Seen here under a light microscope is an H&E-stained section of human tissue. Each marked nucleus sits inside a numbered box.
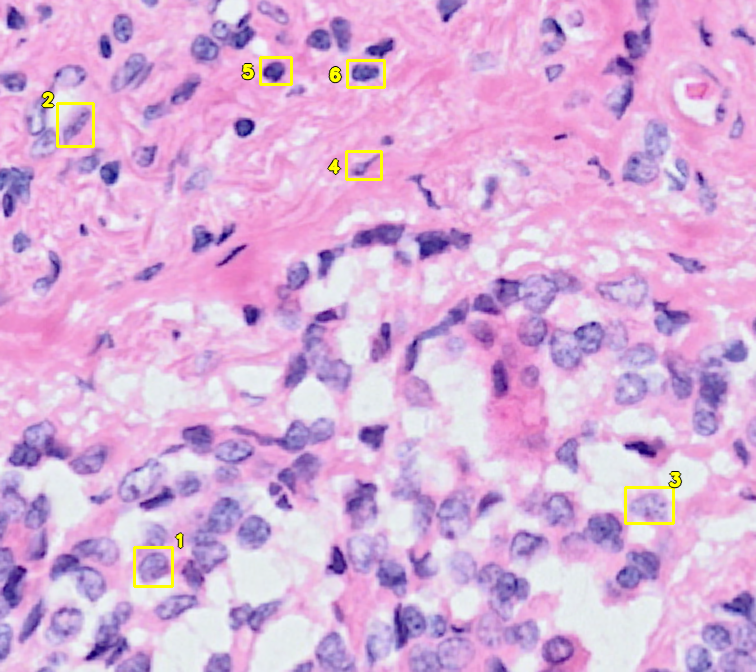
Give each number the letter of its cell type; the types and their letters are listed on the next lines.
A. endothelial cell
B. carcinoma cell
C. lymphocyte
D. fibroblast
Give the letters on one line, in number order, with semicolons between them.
B; A; B; D; C; C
